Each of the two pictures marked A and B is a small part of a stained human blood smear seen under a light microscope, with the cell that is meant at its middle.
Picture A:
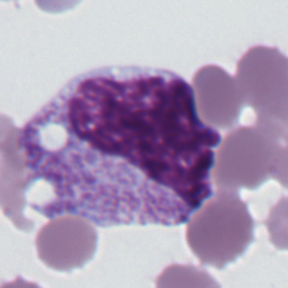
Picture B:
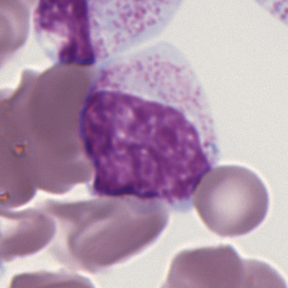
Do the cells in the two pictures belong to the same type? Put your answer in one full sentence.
Yes, the two pictures both show myelocytes.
